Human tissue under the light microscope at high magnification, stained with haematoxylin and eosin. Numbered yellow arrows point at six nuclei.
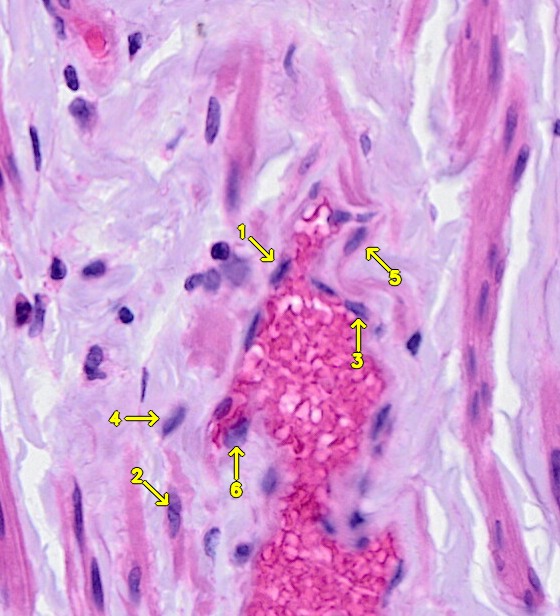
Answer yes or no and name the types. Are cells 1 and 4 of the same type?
No, cell 1 is an endothelial cell and cell 4 is a fibroblast.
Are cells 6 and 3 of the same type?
Yes, both are endothelial cells.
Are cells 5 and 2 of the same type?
Yes, both are smooth muscle cells.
